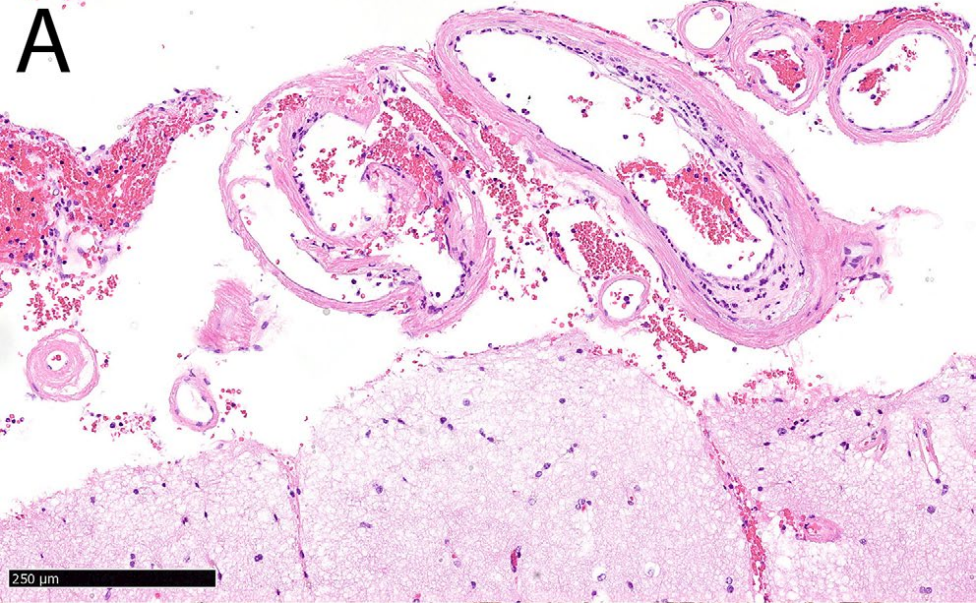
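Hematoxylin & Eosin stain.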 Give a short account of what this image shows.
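Leptomeninges over cortex with several arteries cut in varying planes. Vessel walls are markedly thickened by pale pink, acellular, lamellar material; in places the layers separate, giving a split, double-contoured appearance. Smooth muscle nuclei within the walls are sparse. Lumens contain red blood cells, and extravasated red cells lie freely in the subarachnoid space and over the cortical surface. The underlying cortex is pale and finely vacuolated with scattered small nuclei; small thick-walled cortical vessels are present at its edge.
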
